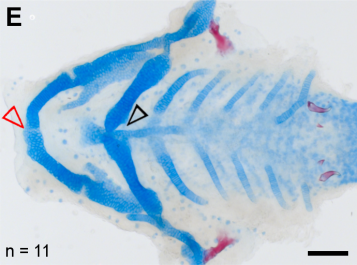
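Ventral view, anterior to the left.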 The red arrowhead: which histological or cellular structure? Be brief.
Meckel’s cartilage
